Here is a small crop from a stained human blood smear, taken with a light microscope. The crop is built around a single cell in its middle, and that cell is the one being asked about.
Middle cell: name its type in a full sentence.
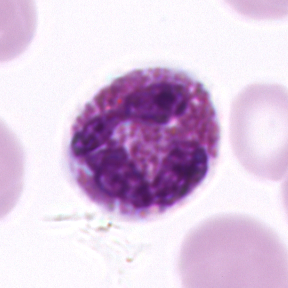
In the center of this field lies an eosinophil.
